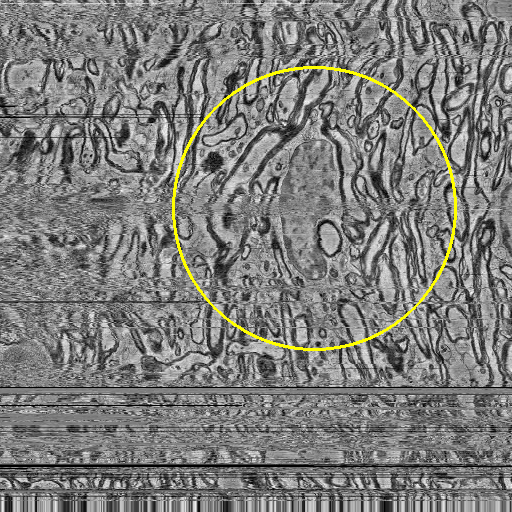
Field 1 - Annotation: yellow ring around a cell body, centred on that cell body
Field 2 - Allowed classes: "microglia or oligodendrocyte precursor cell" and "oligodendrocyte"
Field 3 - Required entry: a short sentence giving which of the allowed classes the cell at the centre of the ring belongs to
The centred cell is a microglial cell or oligodendrocyte precursor cell.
